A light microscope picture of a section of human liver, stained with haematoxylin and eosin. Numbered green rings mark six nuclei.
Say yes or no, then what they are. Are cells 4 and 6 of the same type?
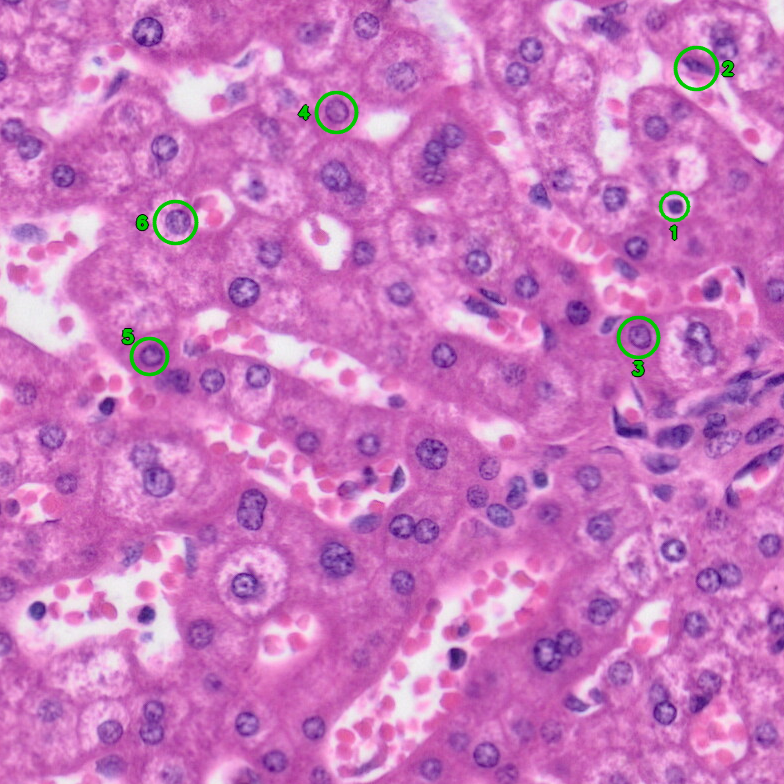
Yes, both are hepatocytes.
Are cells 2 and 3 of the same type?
No, cell 2 is an endothelial cell and cell 3 is a hepatocyte.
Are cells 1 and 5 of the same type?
No, cell 1 is a lymphocyte and cell 5 is a hepatocyte.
